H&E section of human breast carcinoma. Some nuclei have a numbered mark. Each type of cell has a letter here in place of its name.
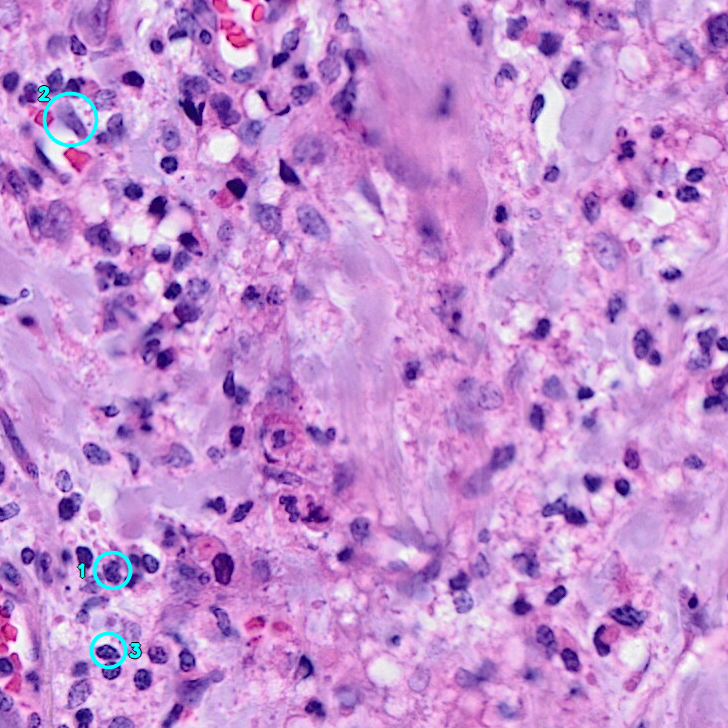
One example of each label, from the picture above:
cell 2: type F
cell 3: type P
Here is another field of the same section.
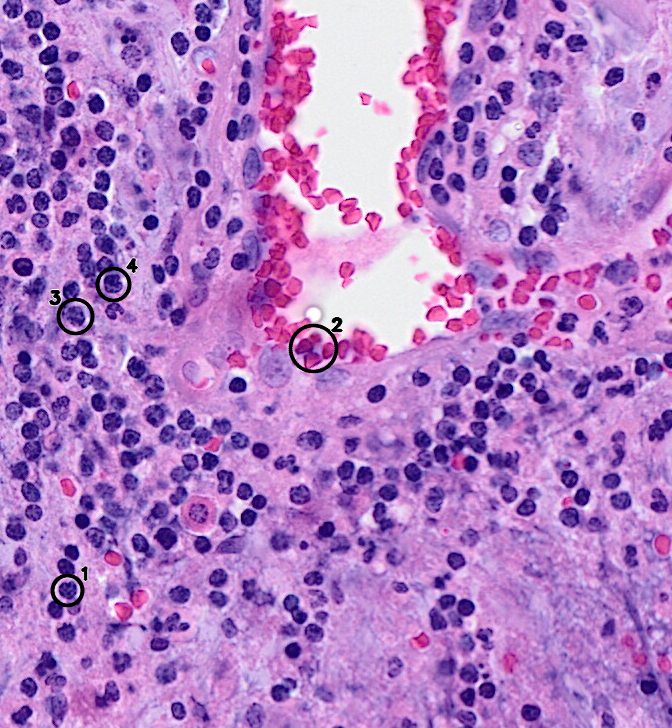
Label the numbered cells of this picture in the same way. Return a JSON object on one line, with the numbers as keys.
{"1": "type P", "2": "type F", "3": "type P", "4": "type P"}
